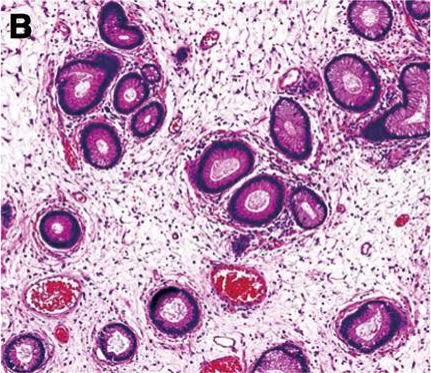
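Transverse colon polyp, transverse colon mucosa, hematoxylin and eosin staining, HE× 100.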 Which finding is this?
Edema of the lamina propria.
